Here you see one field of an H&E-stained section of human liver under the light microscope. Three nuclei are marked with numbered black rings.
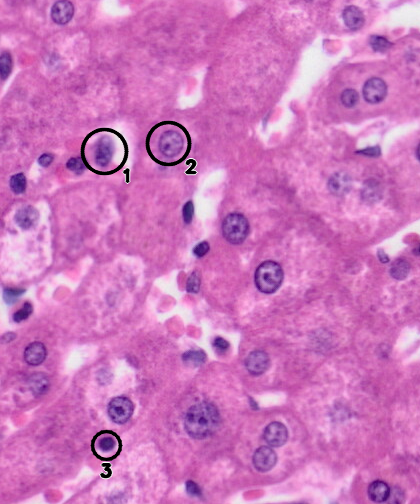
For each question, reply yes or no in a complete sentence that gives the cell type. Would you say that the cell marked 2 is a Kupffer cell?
No, the cell tagged 2 is a hepatocyte, not a Kupffer cell.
